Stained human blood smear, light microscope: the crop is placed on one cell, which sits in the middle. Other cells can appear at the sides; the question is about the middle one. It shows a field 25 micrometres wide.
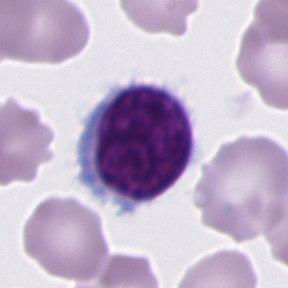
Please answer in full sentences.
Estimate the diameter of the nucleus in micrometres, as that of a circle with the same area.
Taken as a circle, the nucleus has a diameter of about 9 micrometres.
